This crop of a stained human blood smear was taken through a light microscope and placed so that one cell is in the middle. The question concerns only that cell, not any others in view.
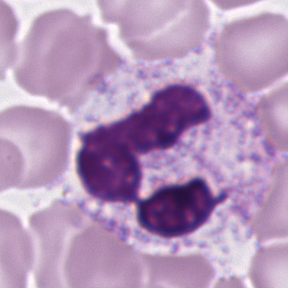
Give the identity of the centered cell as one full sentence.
This crop has a segmented neutrophil at its centre.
